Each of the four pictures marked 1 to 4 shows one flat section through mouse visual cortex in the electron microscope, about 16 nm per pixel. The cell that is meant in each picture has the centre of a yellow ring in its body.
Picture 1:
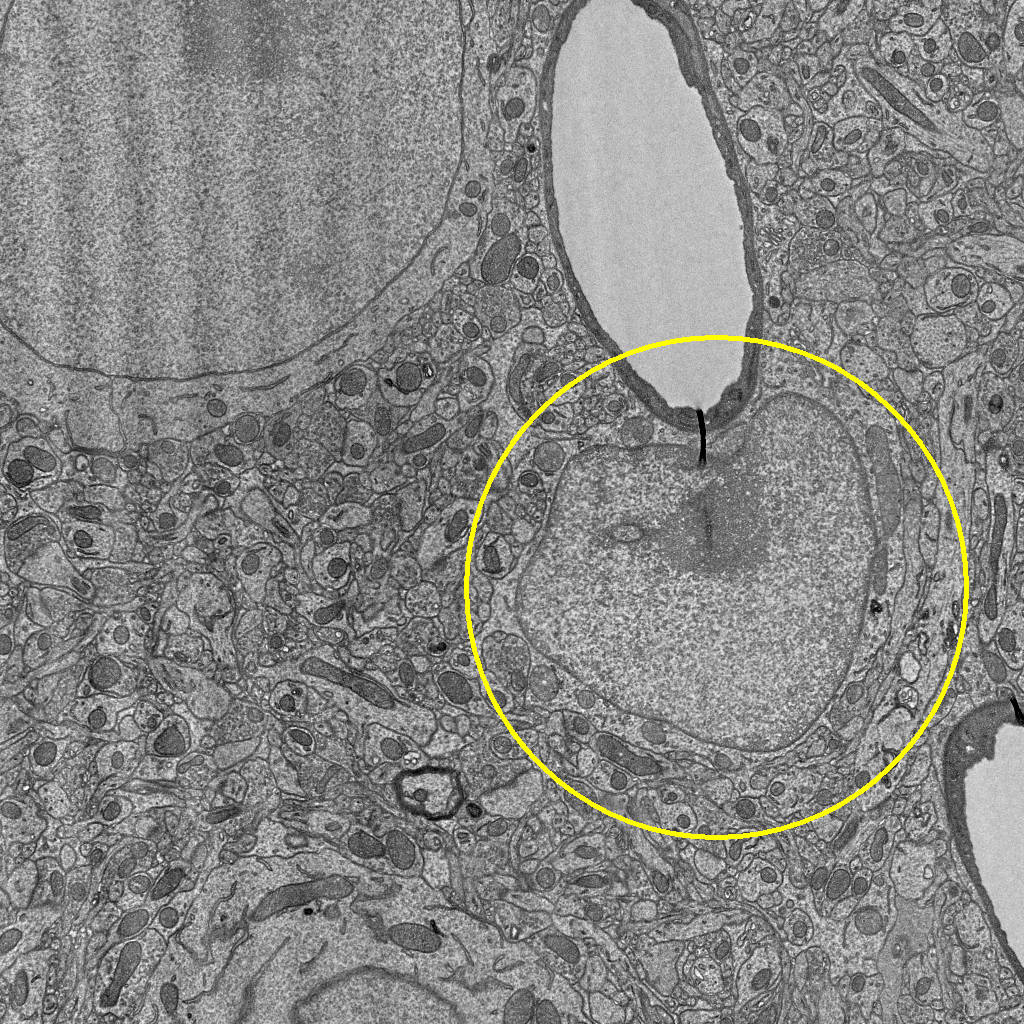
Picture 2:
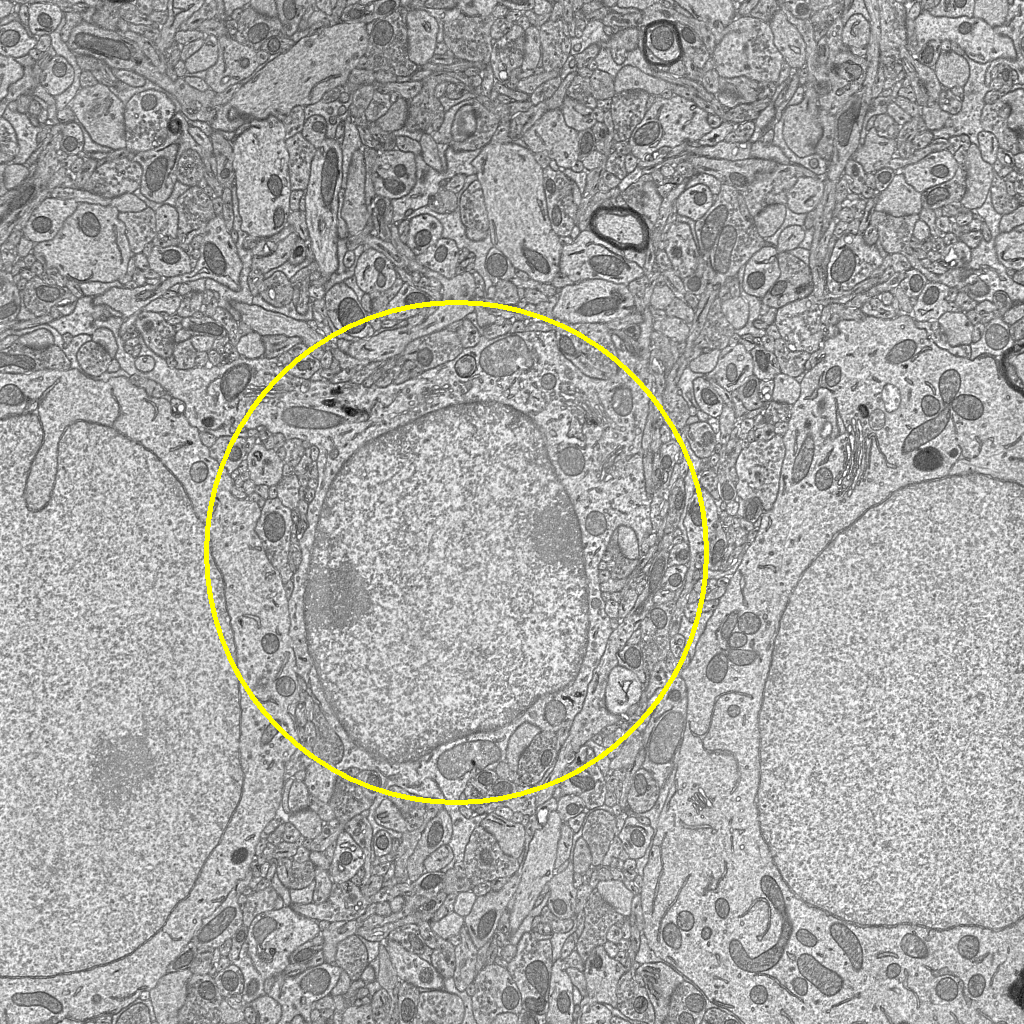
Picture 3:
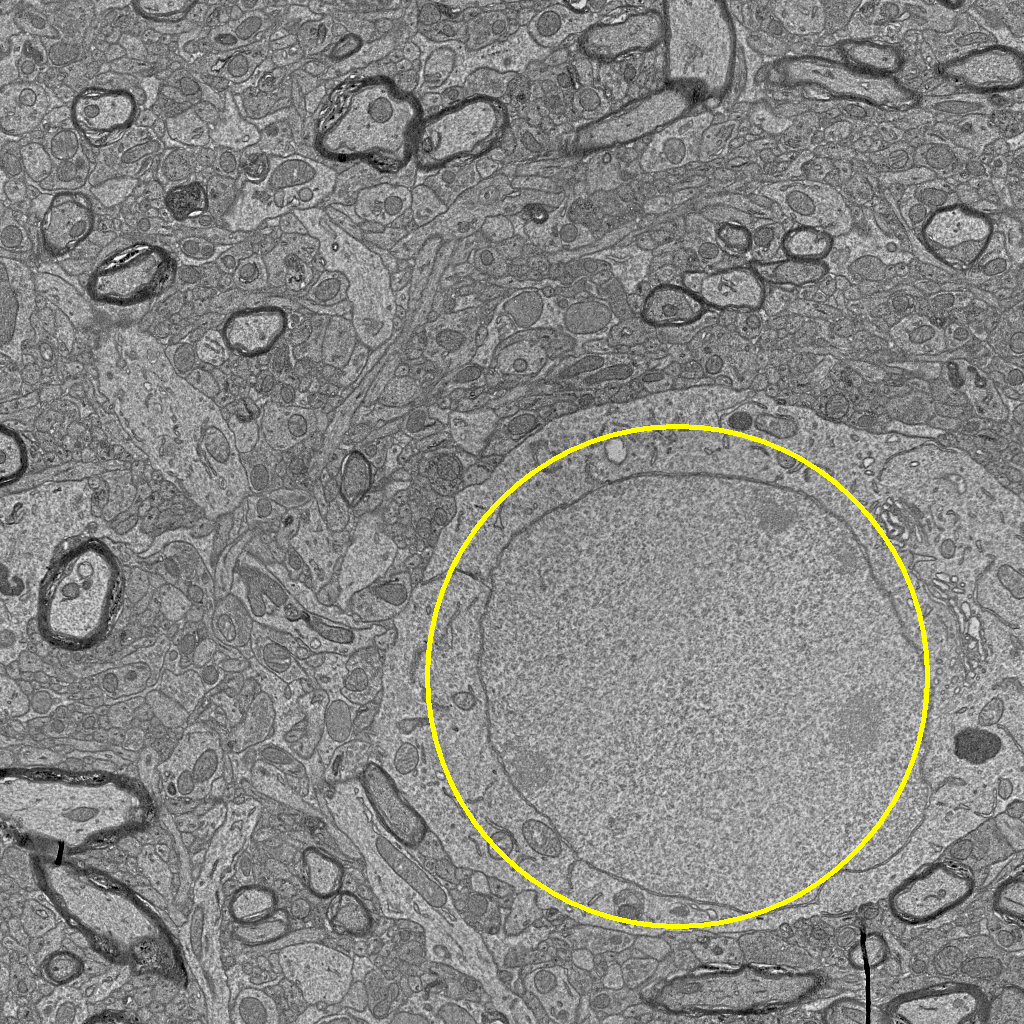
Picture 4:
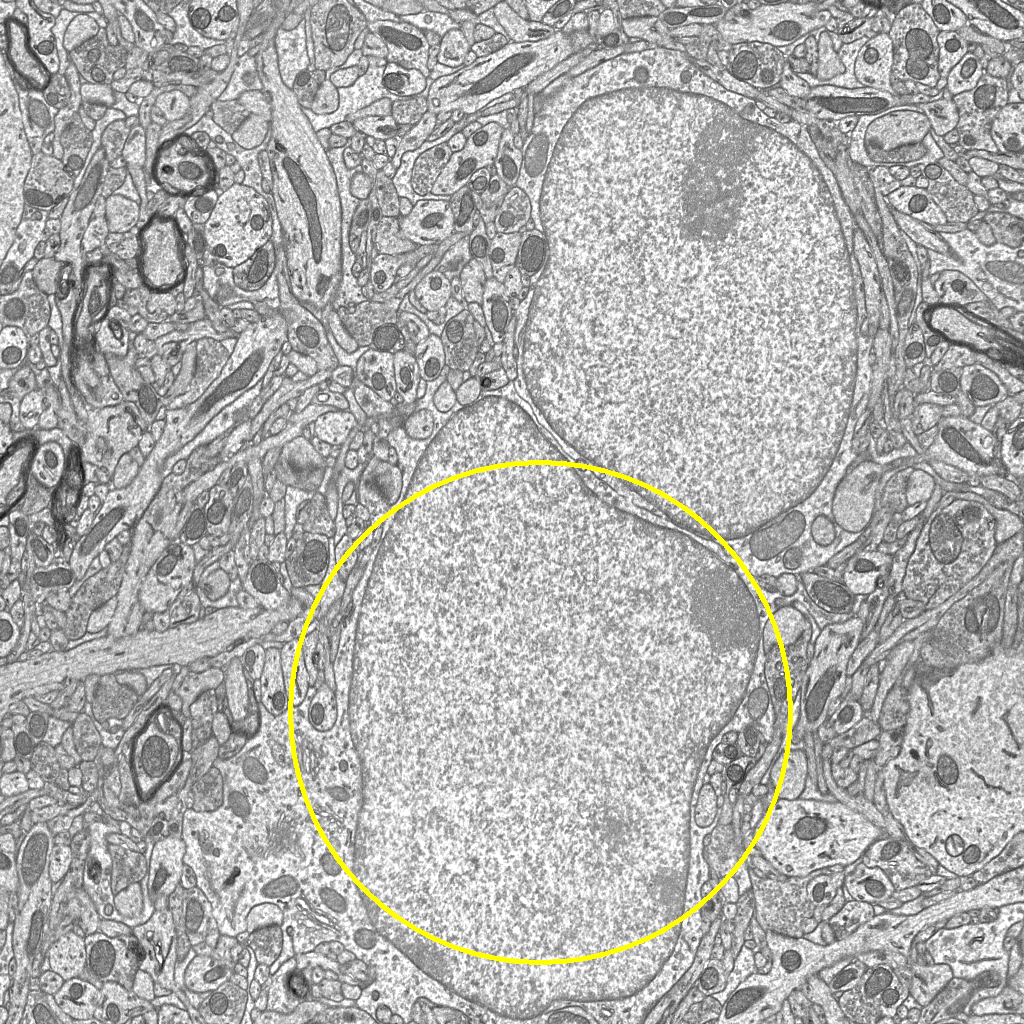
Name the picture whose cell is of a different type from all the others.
The others show astrocytes, but picture 3 shows an excitatory neuron.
